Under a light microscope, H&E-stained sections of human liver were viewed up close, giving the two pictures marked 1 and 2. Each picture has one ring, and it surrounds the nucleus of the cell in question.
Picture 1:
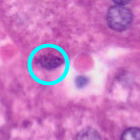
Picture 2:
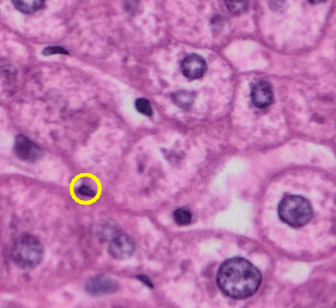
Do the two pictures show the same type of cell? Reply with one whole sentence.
Yes, both are “fibroblasts or stellate cells”.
